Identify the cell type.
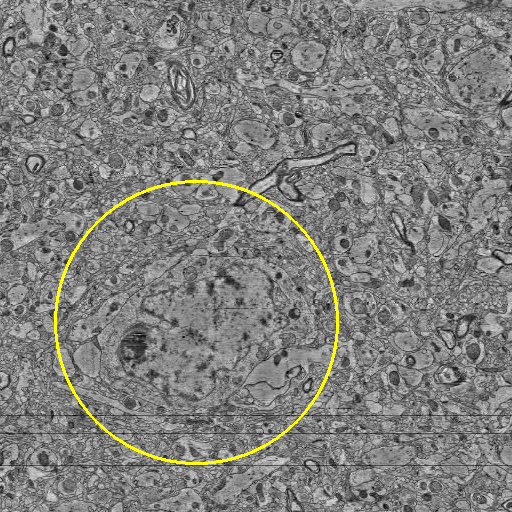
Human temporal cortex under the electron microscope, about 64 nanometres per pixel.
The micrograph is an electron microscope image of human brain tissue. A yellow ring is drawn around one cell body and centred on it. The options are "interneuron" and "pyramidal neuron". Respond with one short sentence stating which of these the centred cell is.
The cell body in the ring belongs to an interneuron.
